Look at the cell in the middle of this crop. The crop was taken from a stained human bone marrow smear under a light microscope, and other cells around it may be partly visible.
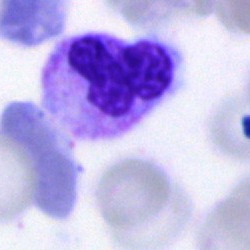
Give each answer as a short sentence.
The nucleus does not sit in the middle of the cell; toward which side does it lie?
Toward the upper right of the cell lies its nucleus.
